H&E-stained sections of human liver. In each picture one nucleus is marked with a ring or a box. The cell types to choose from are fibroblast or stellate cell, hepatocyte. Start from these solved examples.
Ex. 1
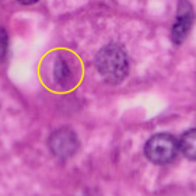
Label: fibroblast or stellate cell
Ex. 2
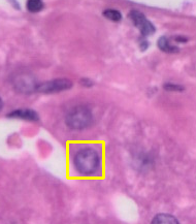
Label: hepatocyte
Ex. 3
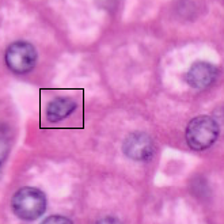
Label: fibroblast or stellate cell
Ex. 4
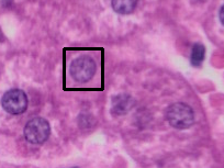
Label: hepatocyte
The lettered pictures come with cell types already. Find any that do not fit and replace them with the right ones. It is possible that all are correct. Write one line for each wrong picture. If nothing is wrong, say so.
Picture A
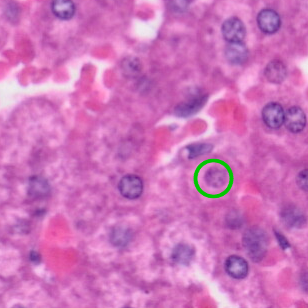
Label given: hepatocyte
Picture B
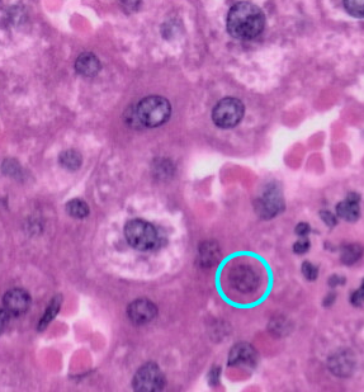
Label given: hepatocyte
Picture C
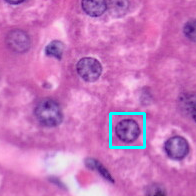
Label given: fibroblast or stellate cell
C: not fibroblast or stellate cell but hepatocyte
